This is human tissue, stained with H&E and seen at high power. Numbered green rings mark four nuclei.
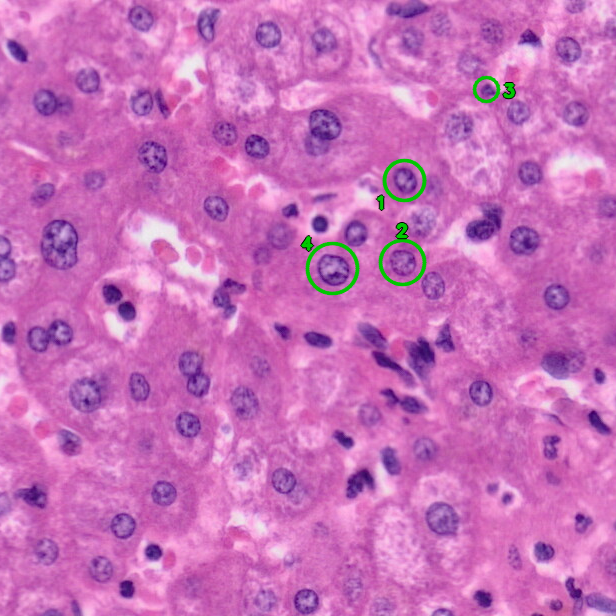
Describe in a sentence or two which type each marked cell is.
Cell 1 is a hepatocyte, cell 2 is a hepatocyte, cell 3 is a fibroblast or stellate cell and cell 4 is a hepatocyte.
